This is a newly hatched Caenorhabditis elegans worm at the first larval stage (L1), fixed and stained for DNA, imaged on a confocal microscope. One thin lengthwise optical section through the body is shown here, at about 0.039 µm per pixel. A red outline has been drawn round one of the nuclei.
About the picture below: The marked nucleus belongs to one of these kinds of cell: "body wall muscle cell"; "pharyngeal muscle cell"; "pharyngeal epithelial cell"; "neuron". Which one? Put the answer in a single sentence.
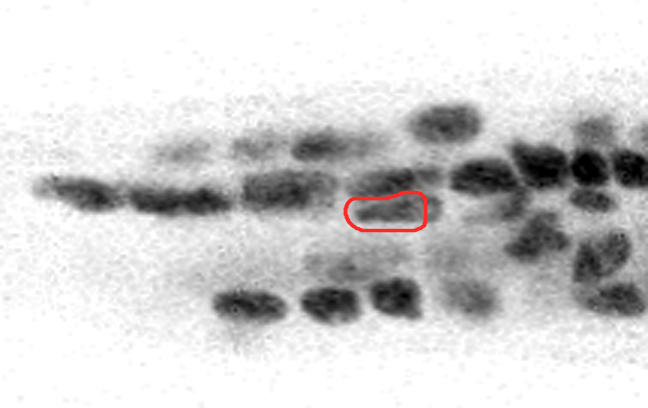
The marked nucleus belongs to a pharyngeal muscle cell.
